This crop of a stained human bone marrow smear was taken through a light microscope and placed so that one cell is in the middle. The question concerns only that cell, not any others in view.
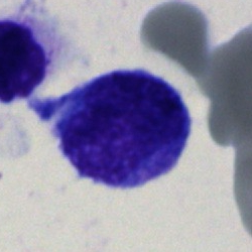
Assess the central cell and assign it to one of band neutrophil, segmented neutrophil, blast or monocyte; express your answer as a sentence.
This particular crop is centered on a blast.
